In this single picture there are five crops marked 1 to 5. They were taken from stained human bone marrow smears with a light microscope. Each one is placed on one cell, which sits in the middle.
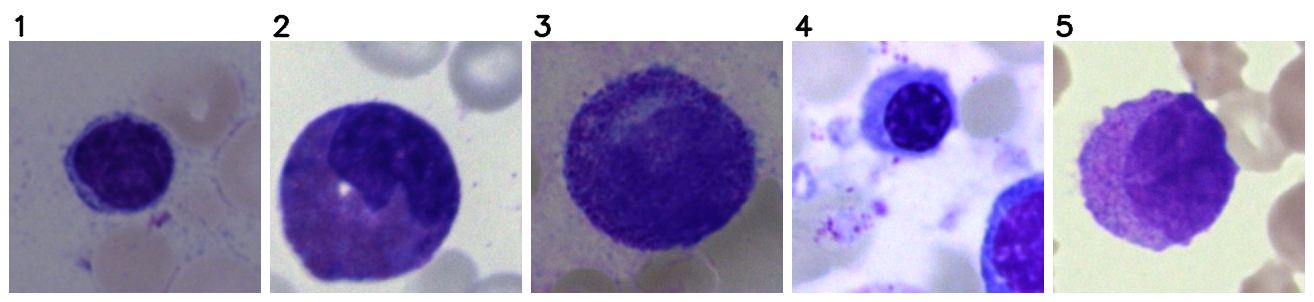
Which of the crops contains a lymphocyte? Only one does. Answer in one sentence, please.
Identified crop: 1, the one that shows a lymphocyte.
